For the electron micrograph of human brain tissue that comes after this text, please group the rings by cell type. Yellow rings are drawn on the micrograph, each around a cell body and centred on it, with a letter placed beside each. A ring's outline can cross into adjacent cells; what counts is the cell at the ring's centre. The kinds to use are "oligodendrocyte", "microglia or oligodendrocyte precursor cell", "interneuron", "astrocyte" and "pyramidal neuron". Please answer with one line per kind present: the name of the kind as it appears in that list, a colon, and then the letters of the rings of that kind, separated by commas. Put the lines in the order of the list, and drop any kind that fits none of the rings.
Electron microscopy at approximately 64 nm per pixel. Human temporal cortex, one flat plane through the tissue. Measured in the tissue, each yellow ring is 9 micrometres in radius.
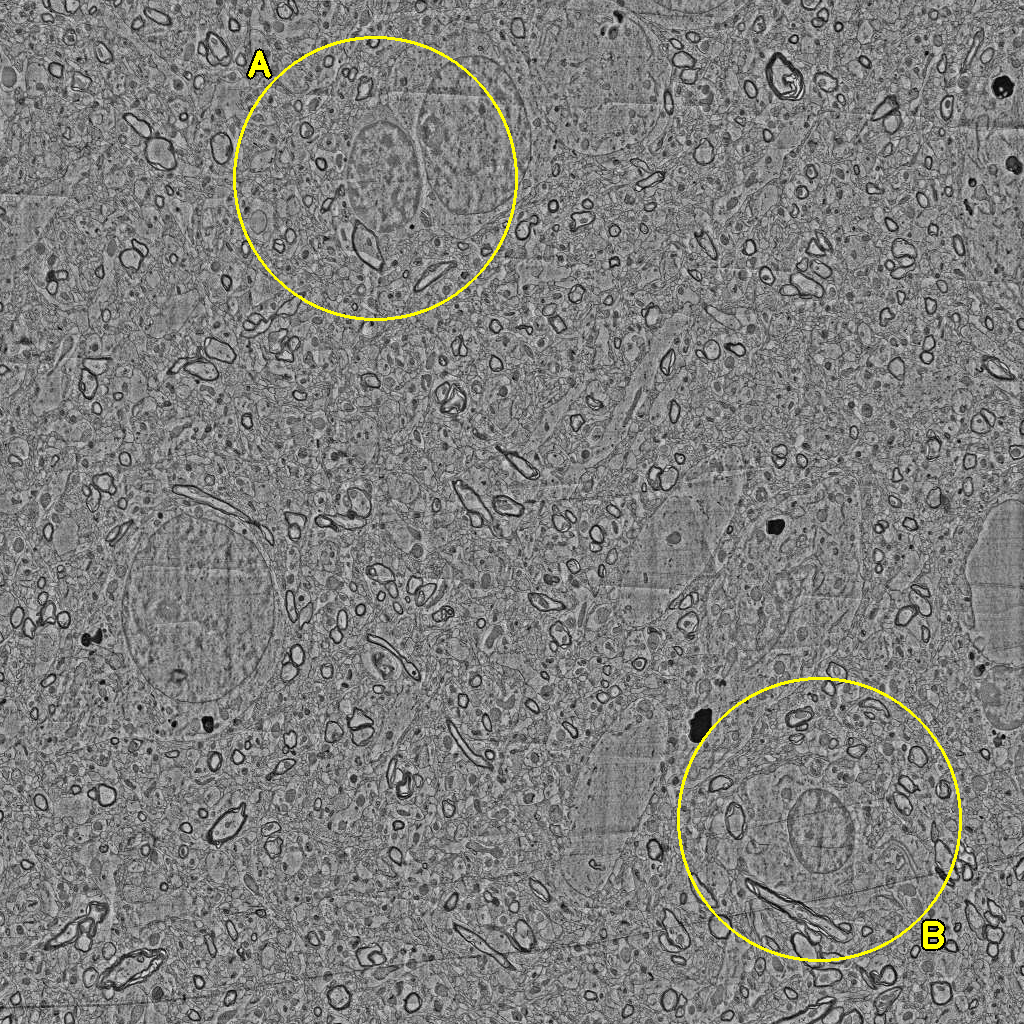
oligodendrocyte: A
astrocyte: B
